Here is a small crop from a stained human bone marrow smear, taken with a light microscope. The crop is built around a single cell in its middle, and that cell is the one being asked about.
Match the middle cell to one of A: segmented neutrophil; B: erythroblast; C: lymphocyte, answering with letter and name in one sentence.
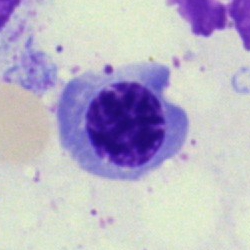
Option B is right in identifying the central cell as an erythroblast.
